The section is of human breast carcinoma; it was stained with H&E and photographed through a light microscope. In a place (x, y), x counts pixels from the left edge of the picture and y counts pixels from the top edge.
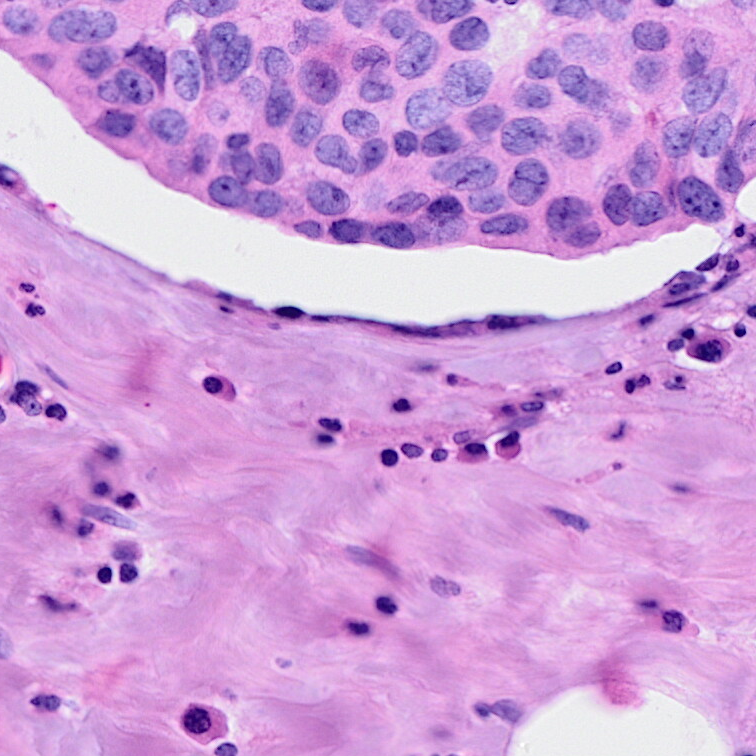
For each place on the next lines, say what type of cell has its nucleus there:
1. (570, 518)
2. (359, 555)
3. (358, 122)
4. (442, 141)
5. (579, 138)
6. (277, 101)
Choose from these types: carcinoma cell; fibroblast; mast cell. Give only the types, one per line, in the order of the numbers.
fibroblast
fibroblast
carcinoma cell
carcinoma cell
carcinoma cell
carcinoma cell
